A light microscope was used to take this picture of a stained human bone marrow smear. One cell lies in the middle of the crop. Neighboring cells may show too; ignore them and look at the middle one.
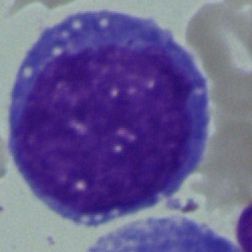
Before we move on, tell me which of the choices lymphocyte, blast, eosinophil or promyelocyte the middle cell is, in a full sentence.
The cell of interest, located centrally, is a blast.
